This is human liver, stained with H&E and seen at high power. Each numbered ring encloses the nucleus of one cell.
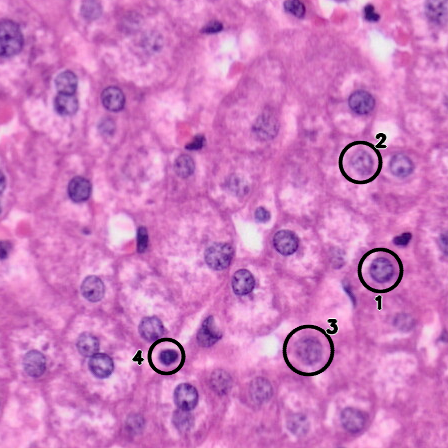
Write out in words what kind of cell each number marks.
Cells 1, 2 and 3 are hepatocytes. Cell 4 is a lymphocyte.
